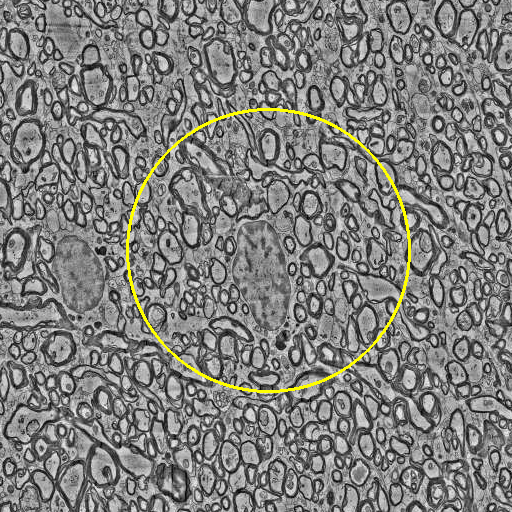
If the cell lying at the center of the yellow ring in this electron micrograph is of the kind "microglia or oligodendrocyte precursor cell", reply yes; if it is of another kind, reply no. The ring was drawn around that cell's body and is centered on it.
yes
